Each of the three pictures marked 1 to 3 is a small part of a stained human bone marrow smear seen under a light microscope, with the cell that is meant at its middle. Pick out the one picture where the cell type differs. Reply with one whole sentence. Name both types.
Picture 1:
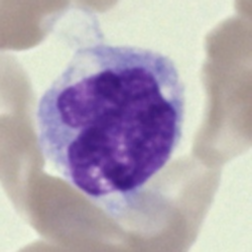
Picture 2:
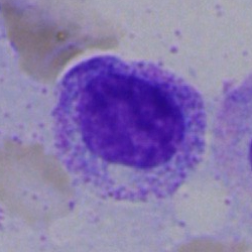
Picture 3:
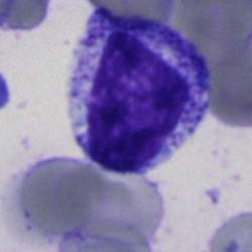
Unlike the rest, which show myelocytes, picture 1 shows a monocyte.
